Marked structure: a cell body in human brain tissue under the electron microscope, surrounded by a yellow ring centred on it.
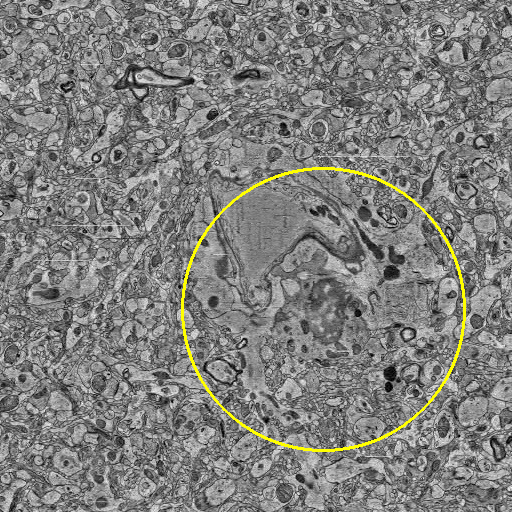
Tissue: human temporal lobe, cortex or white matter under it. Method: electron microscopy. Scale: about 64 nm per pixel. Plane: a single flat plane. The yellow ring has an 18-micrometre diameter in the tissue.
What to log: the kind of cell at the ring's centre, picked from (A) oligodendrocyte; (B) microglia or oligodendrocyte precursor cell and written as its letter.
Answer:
A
